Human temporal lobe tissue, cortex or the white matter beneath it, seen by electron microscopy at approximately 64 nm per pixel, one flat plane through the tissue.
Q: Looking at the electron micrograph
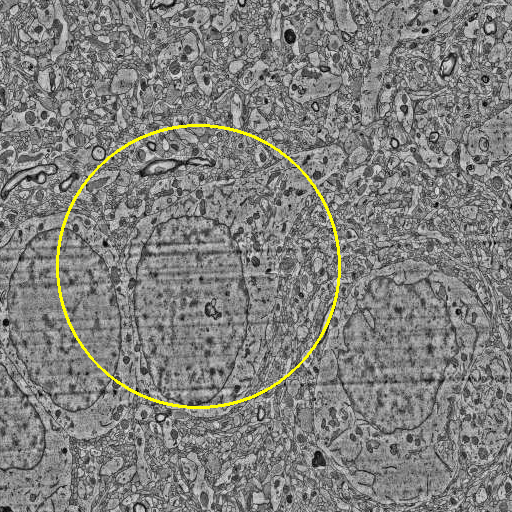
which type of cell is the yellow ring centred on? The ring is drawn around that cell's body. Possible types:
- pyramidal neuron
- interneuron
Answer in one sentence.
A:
The yellow ring is centred on a pyramidal neuron.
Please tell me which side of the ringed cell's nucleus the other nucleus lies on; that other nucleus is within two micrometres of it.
That other nucleus sits to the left of it.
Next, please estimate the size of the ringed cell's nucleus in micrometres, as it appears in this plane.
About 12 by 7 micrometers; the nucleus is clearly longer than it is wide in this plane.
